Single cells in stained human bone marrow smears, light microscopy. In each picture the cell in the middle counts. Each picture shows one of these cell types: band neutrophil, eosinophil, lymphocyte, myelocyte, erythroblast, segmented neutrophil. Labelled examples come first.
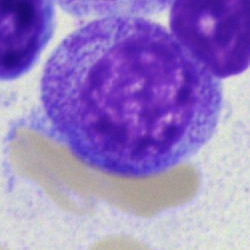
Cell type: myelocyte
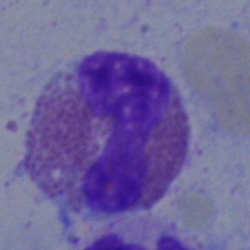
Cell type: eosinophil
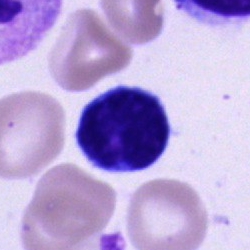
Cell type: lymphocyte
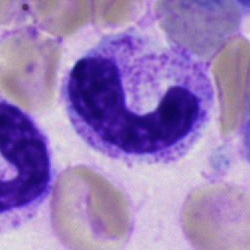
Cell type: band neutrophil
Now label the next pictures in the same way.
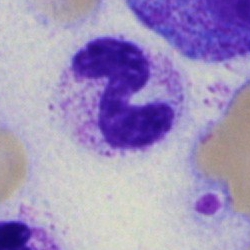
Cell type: band neutrophil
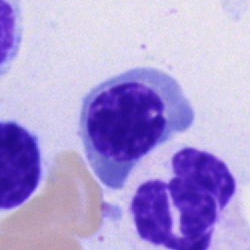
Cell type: erythroblast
